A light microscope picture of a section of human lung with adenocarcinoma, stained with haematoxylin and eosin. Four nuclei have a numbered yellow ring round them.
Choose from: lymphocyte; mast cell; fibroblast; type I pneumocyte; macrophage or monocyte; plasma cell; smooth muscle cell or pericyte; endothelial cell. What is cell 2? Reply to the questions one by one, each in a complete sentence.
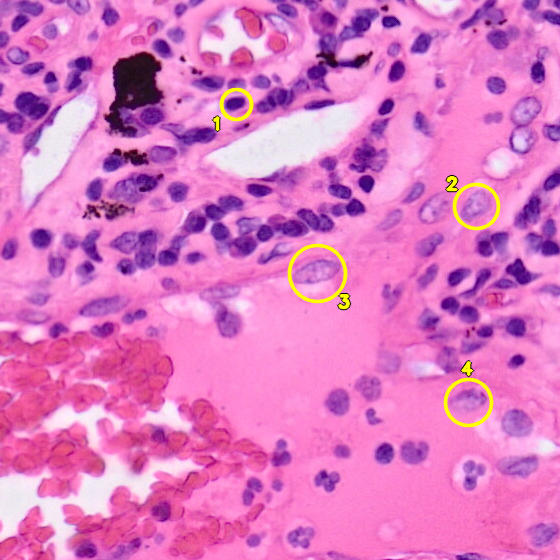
That cell with number 2 is an endothelial cell.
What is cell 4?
Numbered cell 4 is an endothelial cell in this tissue section.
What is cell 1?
The cell given label 1 is a lymphocyte.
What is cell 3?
The cell marked with the number 3 is an endothelial cell.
